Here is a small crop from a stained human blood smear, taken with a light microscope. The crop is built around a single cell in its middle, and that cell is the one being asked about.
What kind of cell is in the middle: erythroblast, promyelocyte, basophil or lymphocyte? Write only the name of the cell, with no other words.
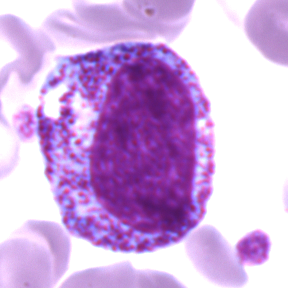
promyelocyte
